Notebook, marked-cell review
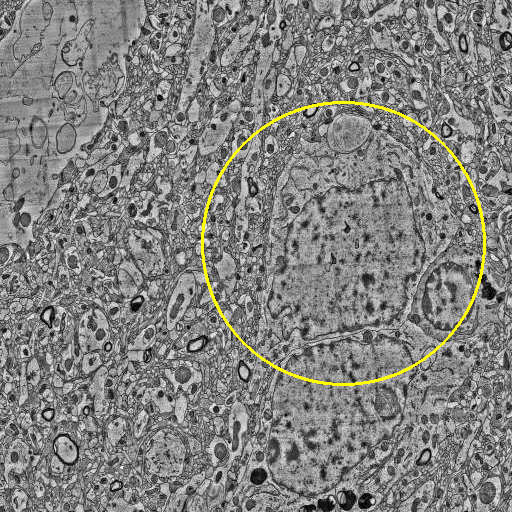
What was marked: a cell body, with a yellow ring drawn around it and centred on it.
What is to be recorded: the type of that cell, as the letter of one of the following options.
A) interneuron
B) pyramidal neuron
A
